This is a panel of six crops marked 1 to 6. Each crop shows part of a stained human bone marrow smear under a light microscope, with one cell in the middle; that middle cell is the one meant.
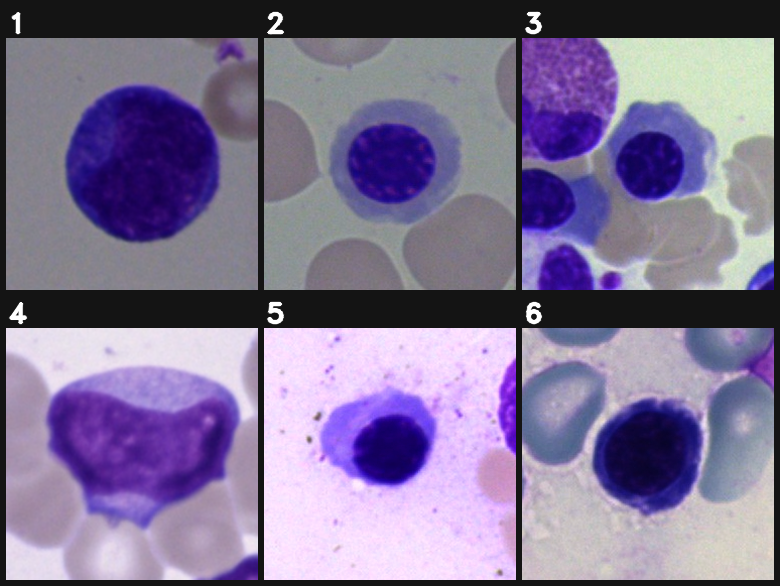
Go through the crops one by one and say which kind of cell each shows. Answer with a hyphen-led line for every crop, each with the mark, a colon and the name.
- 1: blast
- 2: erythroblast
- 3: erythroblast
- 4: blast
- 5: erythroblast
- 6: erythroblast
